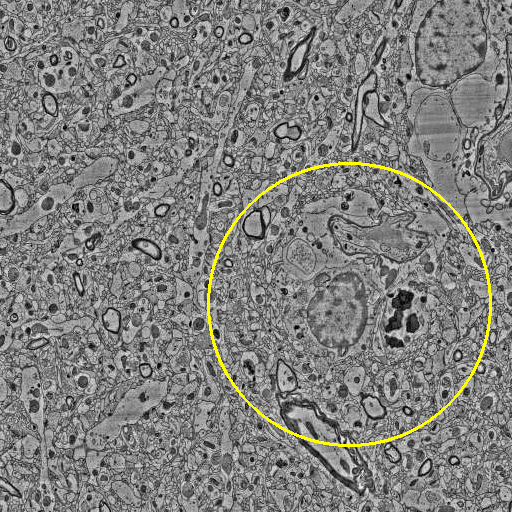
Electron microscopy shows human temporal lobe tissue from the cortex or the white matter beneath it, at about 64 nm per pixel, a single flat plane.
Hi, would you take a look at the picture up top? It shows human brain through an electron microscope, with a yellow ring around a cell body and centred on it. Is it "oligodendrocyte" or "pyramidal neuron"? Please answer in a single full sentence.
The best fit for the cell in the middle of the ring is an oligodendrocyte, I reckon.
